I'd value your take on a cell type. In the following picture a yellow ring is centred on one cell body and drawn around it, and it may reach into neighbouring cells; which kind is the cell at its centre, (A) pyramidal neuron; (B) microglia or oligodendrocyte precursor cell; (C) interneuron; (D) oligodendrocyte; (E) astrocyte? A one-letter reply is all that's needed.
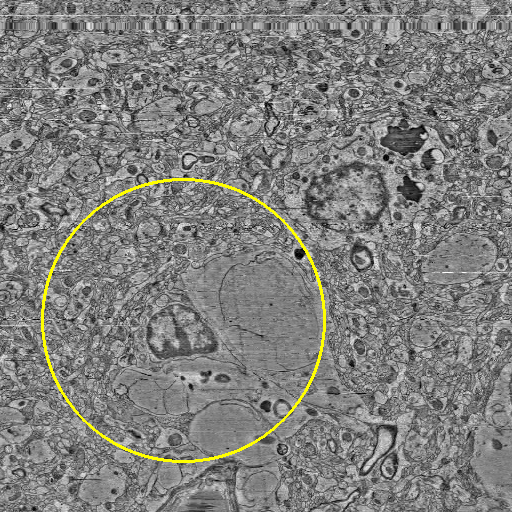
B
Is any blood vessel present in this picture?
Yes, a vessel appears in the picture.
